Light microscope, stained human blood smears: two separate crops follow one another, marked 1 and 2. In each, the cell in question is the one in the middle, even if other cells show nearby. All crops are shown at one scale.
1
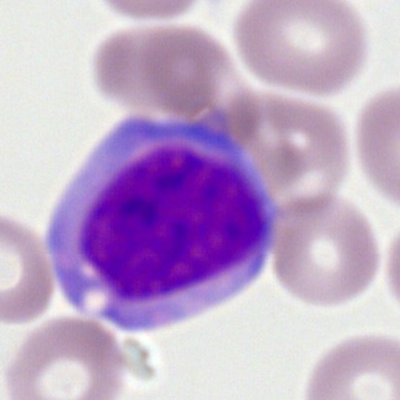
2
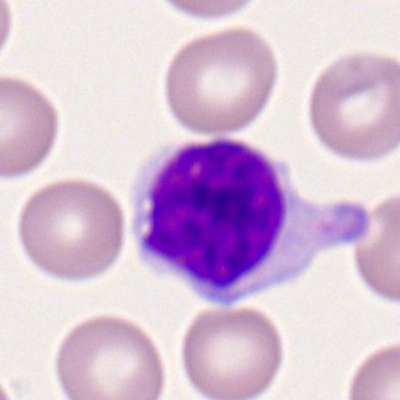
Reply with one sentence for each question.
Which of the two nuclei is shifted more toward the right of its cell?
It is the nucleus in crop 1 that lies further toward the right of its cell.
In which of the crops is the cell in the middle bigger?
Crop 1 holds the larger cell; it covers about 1.5 times the area of the cell in crop 2.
